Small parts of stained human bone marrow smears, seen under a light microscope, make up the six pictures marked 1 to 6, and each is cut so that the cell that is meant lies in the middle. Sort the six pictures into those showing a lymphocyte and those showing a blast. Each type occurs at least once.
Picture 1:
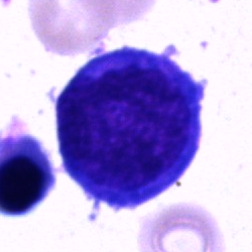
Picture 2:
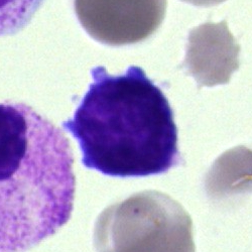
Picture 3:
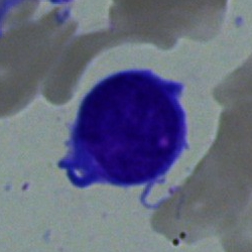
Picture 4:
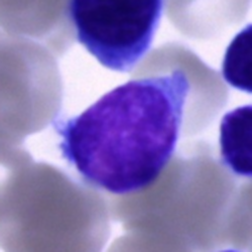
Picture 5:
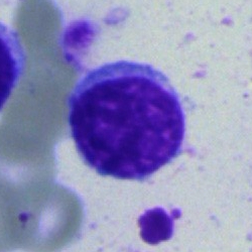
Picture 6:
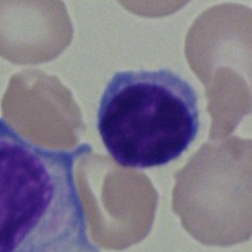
1: blast
2: lymphocyte
3: blast
4: lymphocyte
5: lymphocyte
6: lymphocyte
